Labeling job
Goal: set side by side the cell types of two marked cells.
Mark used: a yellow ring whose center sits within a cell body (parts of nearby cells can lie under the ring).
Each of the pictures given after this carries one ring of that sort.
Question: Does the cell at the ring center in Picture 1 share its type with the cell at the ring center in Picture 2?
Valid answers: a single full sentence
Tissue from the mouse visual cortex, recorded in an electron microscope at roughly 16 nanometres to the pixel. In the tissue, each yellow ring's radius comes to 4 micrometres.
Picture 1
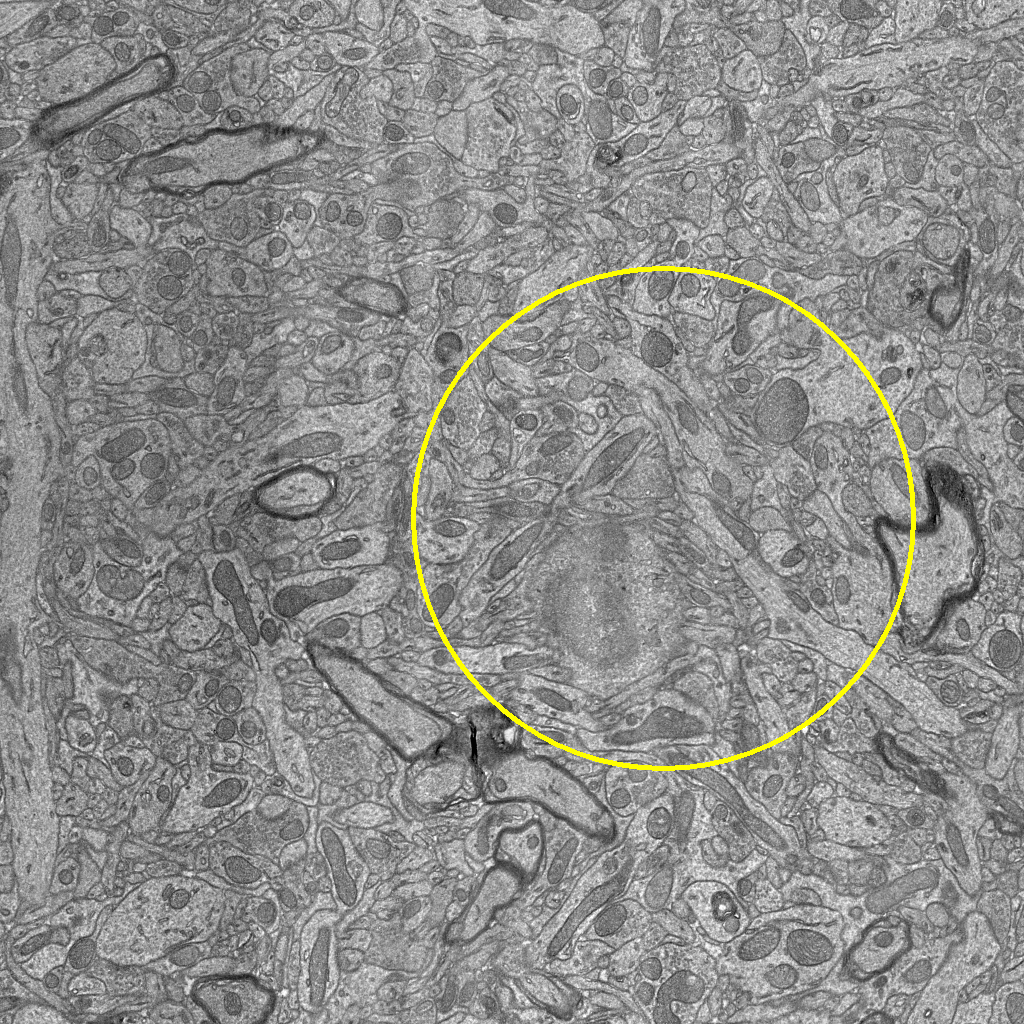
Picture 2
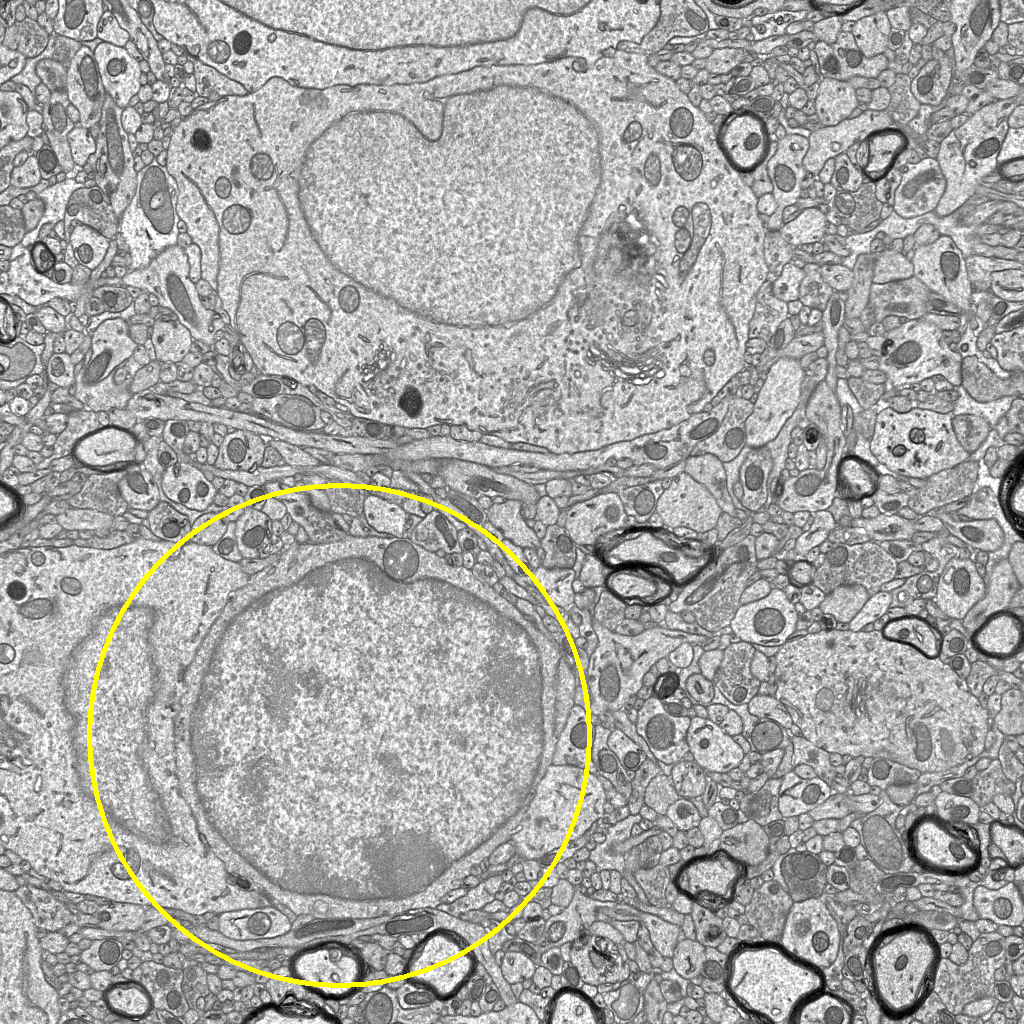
Yes, in Pictures 1 and 2 the cells at the ring centers share one type.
